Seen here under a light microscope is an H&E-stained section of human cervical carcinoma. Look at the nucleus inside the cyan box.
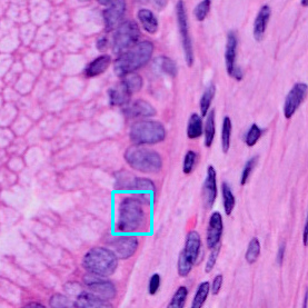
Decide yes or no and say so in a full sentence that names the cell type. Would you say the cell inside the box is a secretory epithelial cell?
Yes, the cell inside the box is identified as a secretory epithelial cell in this section.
